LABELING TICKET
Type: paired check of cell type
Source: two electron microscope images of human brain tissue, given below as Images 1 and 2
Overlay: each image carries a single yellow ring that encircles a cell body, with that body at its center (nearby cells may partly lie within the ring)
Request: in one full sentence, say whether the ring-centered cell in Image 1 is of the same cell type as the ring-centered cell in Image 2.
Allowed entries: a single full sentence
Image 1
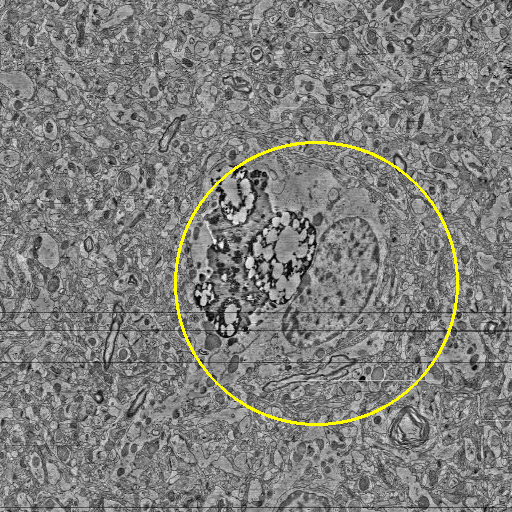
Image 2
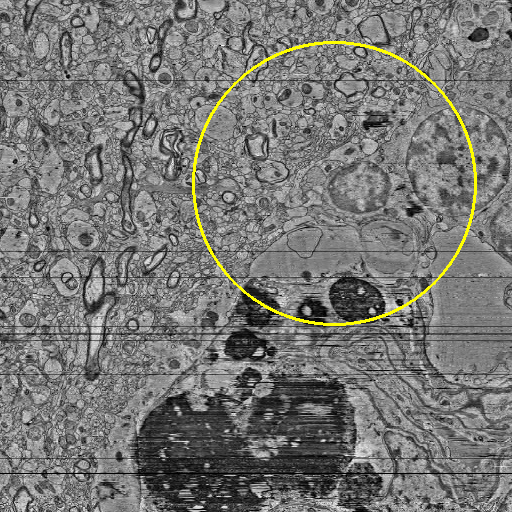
No, the cells centered in the rings of Image 1 and Image 2 are of two types.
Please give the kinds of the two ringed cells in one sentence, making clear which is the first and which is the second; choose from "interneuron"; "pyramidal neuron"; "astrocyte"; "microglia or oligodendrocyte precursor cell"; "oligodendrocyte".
In the second picture the ringed cell is an oligodendrocyte; in the first it is an astrocyte.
